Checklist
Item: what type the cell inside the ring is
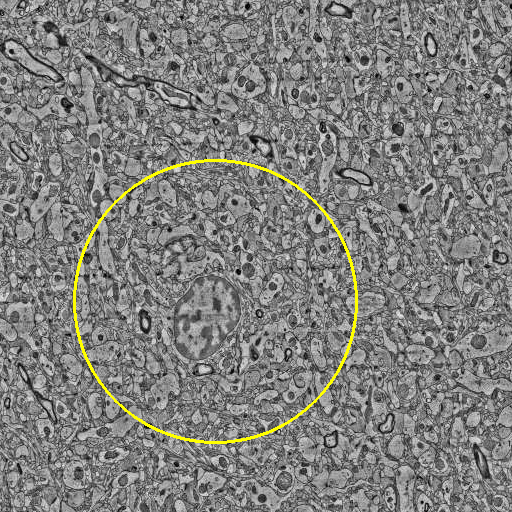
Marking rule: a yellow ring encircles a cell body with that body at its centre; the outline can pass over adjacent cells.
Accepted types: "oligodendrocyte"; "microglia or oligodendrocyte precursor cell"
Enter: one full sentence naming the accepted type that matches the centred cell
The entry is that a microglial cell or oligodendrocyte precursor cell lies at the centre of the yellow ring.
